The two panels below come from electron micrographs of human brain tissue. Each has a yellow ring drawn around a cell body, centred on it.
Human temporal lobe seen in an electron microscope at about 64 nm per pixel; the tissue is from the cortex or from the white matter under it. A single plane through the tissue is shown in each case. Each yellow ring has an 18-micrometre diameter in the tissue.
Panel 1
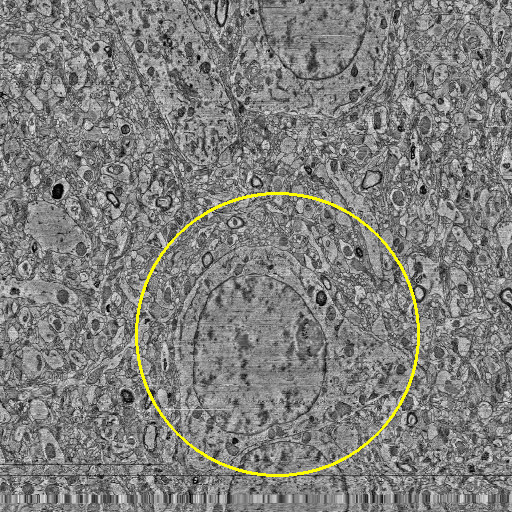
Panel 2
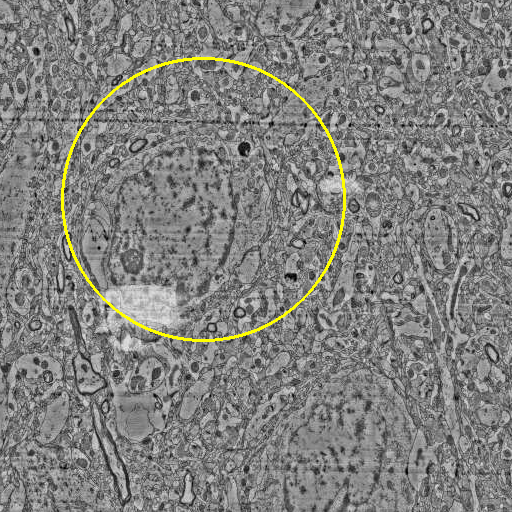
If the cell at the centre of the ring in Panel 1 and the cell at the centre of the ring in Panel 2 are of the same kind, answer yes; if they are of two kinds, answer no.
no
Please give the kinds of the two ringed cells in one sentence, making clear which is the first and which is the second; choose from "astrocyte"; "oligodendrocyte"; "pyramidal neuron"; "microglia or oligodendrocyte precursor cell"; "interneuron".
In the second picture the ringed cell is an interneuron; in the first it is a pyramidal neuron.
